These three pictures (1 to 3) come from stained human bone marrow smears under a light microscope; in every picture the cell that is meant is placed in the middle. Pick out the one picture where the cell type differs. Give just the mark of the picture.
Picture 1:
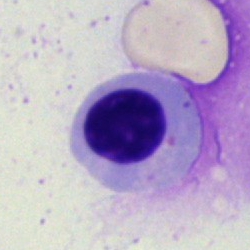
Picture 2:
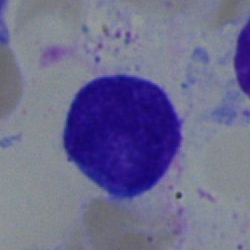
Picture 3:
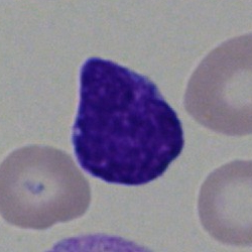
1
